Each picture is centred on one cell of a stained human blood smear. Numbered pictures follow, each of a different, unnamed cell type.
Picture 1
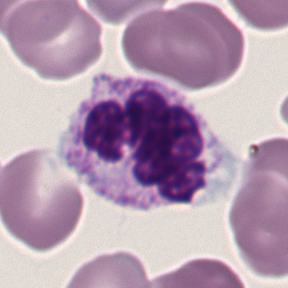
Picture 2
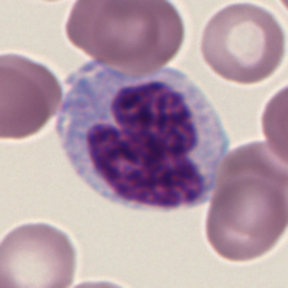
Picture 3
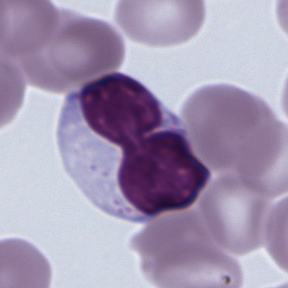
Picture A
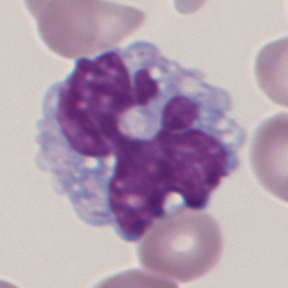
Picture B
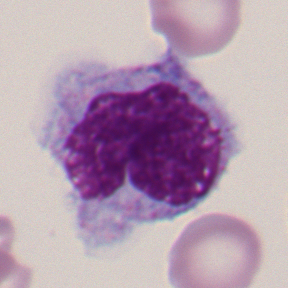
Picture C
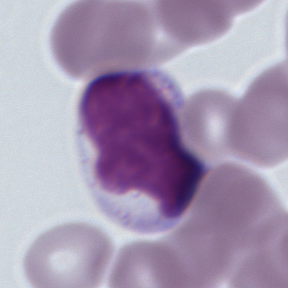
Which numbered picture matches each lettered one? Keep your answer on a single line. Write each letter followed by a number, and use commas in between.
A 2, B 2, C 3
